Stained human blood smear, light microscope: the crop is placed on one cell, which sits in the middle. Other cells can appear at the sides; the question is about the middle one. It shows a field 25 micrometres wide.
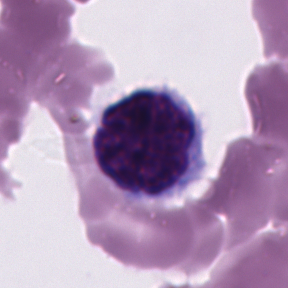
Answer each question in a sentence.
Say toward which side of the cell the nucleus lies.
Seen from the middle of the cell, the nucleus lies toward the upper right.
